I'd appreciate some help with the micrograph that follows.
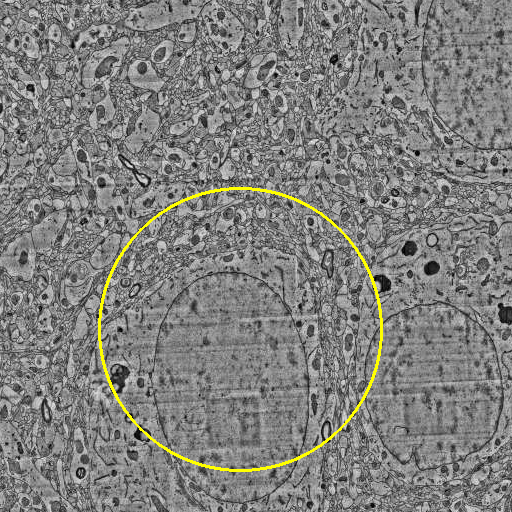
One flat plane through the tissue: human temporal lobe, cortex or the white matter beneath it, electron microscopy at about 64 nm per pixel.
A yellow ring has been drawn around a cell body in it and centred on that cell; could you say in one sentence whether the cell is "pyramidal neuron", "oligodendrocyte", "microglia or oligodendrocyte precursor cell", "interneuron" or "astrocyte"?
It is a pyramidal neuron at the centre of the ring.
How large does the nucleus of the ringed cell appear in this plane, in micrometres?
Roughly 15 micrometres by 11 micrometres, in this plane.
